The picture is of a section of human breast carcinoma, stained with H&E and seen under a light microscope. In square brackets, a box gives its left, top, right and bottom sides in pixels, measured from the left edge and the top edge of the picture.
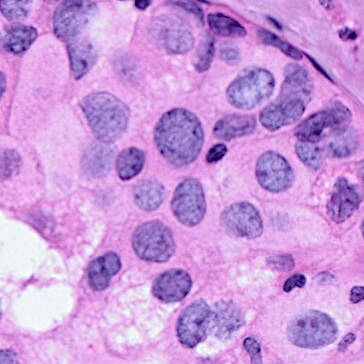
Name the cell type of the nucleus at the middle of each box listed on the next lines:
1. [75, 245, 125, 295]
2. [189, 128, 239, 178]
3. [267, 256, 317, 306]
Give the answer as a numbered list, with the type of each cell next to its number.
1. carcinoma cell
2. lymphocyte
3. lymphocyte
